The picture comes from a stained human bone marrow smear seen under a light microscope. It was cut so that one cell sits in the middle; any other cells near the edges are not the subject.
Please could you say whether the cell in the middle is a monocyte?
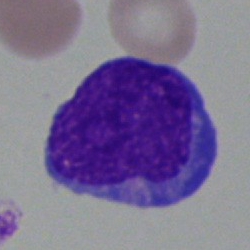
no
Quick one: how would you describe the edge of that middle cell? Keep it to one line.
From every side, the cell boundary is smooth and free of projections.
